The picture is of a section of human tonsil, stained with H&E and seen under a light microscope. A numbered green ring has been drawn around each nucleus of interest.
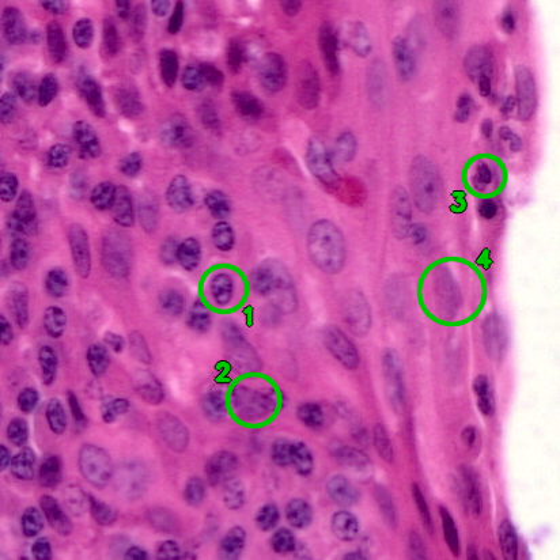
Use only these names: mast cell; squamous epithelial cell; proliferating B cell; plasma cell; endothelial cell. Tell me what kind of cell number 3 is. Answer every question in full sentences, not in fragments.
The cell numbered 3 represents a squamous epithelial cell.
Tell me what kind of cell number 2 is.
The cell marked with the number 2 is a squamous epithelial cell.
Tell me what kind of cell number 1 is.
The cell indicated with the number 1 is classed as a plasma cell.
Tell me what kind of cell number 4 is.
Denoted by the label 4 in the section is a squamous epithelial cell.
